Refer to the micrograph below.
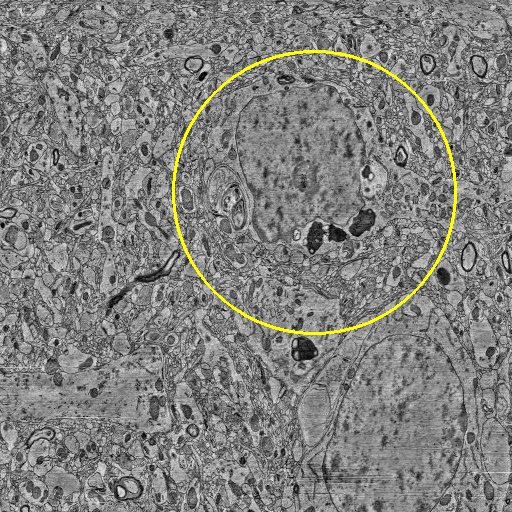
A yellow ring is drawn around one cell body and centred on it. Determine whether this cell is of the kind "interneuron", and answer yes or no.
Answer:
yes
